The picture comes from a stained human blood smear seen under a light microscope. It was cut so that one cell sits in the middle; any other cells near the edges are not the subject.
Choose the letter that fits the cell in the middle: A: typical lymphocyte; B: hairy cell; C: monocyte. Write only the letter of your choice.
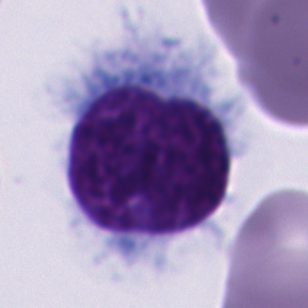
B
